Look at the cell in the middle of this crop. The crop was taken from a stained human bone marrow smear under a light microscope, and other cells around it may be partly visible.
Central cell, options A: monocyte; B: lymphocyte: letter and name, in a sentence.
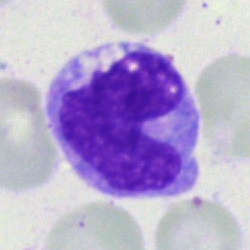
The central cell, a monocyte, is correctly identified by option A.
